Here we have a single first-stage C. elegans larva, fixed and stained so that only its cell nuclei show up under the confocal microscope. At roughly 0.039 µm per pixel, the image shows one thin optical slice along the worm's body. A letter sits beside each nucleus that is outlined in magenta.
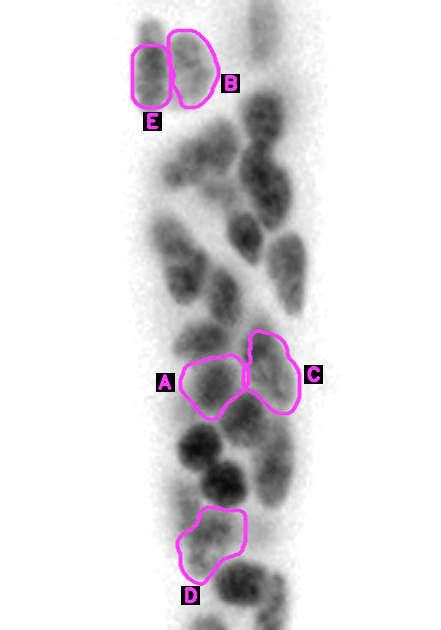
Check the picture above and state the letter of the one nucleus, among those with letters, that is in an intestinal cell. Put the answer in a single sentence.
The nucleus of an intestinal cell is B.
